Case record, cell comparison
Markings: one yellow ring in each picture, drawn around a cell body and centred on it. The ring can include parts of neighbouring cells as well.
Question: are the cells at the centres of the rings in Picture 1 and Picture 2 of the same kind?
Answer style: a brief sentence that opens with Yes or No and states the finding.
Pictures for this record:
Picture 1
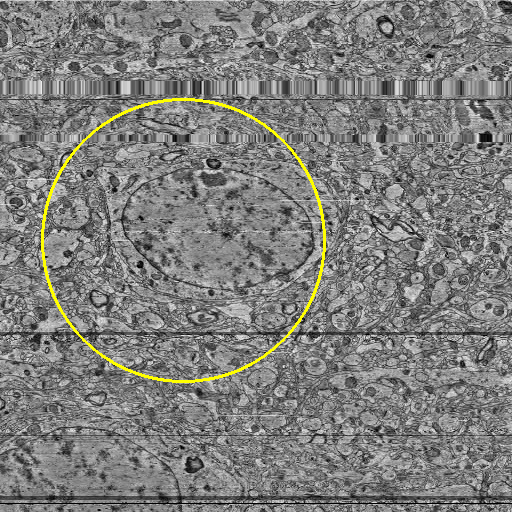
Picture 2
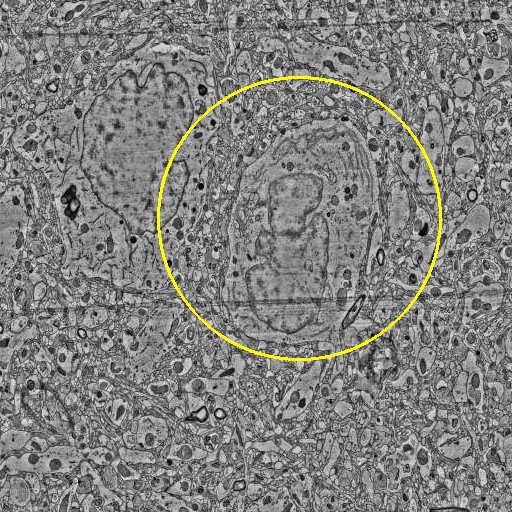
No, the cells in Picture 1 and Picture 2 are of two kinds.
